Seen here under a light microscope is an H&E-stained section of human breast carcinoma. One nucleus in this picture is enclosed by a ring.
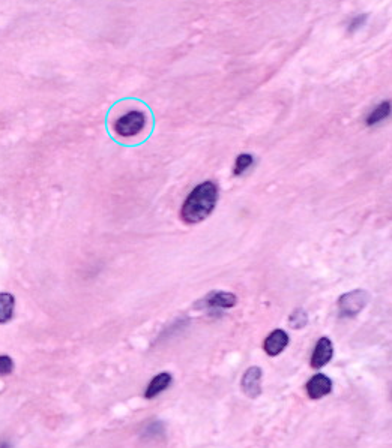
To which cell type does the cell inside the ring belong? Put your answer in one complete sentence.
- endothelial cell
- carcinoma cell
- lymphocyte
Histopathologically, the cell inside the ring is a lymphocyte.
